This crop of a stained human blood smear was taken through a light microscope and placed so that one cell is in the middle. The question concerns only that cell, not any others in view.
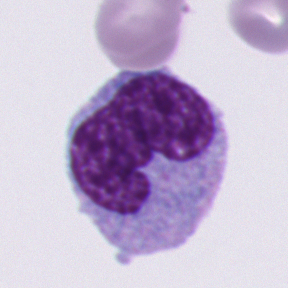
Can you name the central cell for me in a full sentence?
Answering briefly, the cell in the middle is a monocyte.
